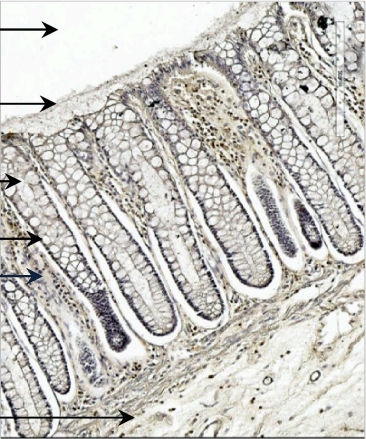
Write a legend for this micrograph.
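This is the gut mucosa cut lengthwise, showing epithelial crypts standing side by side like test tubes that open onto the surface. The crypt walls are packed with pale, rounded, bubbly cells, which are the mucus-filled goblet cells, with darker nuclei crowded toward the crypt bases. A thin pale layer of mucus lies over the surface facing the empty lumen. Between the crypts runs a narrow band of connective tissue with elongated nuclei of fibroblasts, and below the crypt bases lies the looser, paler submucosa.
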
